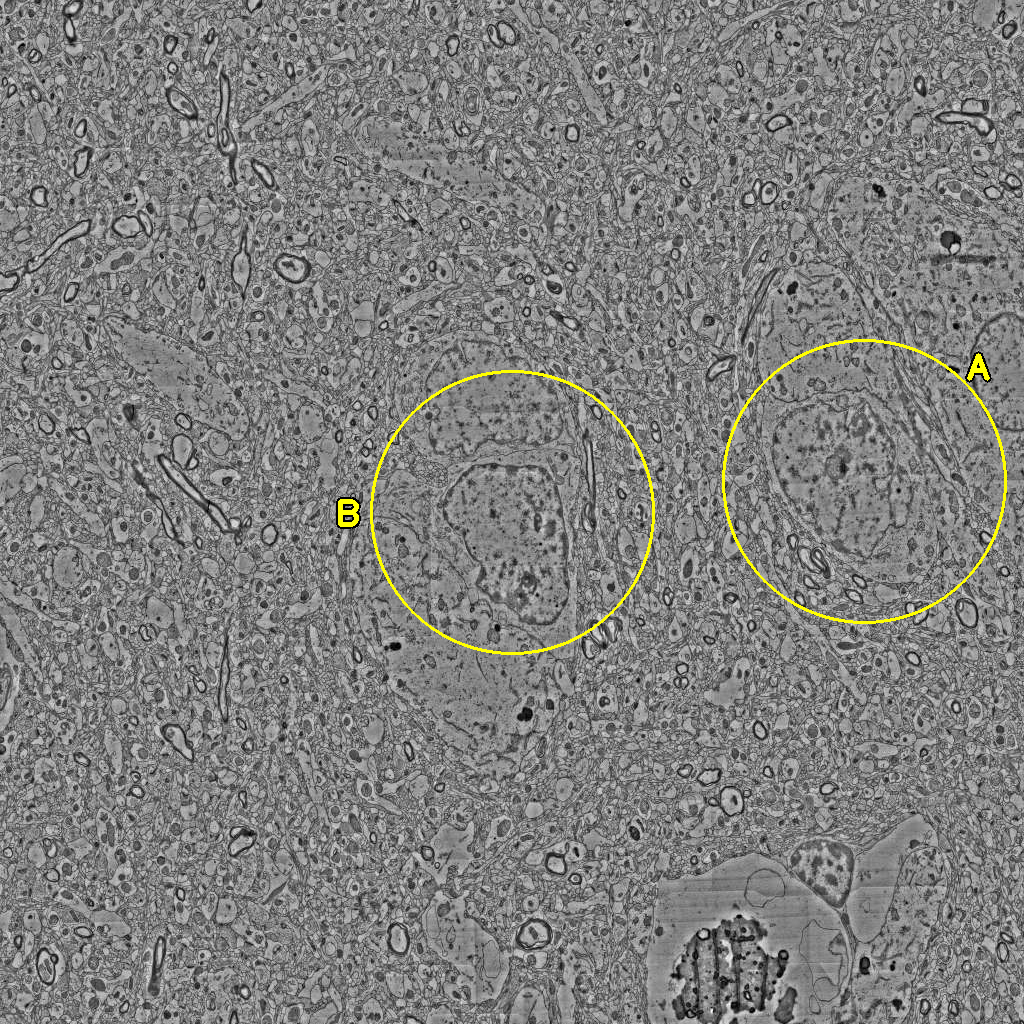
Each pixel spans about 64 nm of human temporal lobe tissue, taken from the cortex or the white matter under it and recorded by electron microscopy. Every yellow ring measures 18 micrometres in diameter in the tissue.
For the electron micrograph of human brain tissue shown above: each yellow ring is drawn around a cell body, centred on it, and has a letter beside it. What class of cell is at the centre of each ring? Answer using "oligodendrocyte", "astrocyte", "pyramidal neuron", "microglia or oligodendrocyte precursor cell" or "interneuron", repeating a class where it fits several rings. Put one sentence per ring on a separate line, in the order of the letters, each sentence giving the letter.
At ring A, the central cell is an interneuron.
At ring B, the central cell is a microglial cell or oligodendrocyte precursor cell.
